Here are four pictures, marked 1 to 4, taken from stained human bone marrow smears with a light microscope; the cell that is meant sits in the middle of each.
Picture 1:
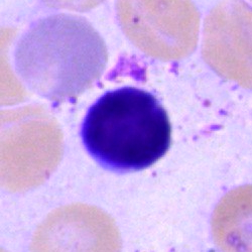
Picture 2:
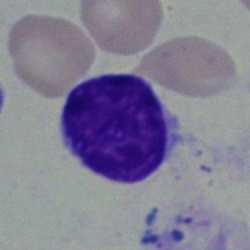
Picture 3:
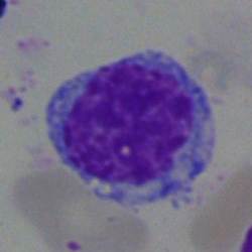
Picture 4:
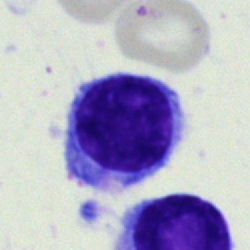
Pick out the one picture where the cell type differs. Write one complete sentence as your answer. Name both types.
Unlike the rest, which show lymphocytes, picture 3 shows a plasma cell.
